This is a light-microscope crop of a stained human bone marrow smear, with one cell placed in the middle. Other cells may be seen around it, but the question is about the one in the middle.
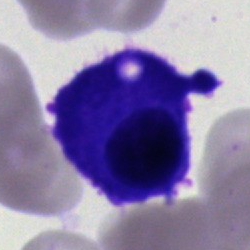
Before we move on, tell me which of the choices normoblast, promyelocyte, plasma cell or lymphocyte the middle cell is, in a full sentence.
The identification for the central cell is a plasma cell.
